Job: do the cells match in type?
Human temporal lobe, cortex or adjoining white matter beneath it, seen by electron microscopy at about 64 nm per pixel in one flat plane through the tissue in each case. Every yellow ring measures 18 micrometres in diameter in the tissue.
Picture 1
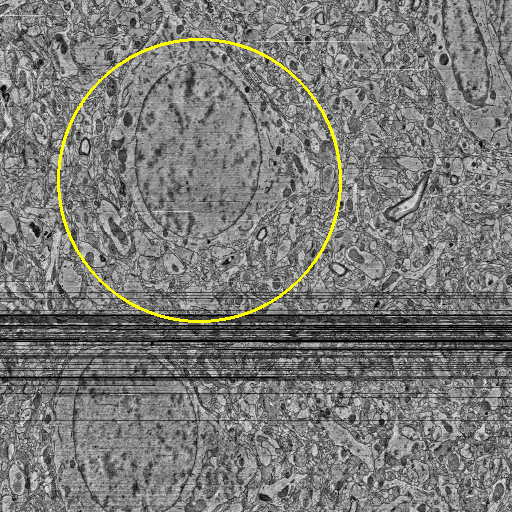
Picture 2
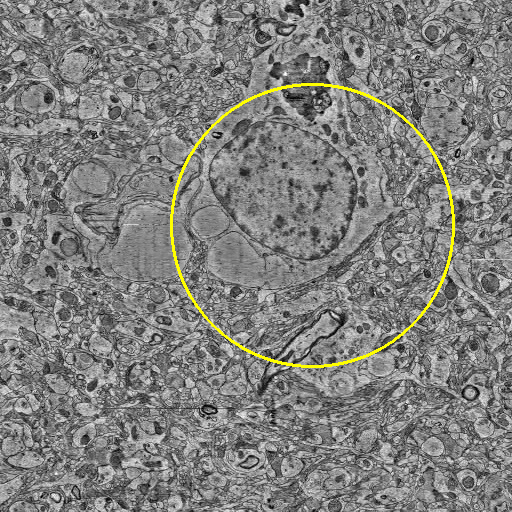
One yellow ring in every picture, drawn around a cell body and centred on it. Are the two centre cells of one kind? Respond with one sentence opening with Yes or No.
No, the ringed cells in the two pictures are of two separate kinds.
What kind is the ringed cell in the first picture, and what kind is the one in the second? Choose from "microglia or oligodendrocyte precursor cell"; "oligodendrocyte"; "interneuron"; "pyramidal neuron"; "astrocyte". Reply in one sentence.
The first cell is a pyramidal neuron; the second is an astrocyte.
